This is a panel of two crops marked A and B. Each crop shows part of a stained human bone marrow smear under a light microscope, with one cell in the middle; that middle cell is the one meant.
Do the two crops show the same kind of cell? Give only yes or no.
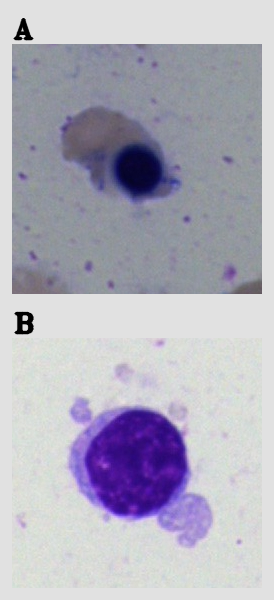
no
